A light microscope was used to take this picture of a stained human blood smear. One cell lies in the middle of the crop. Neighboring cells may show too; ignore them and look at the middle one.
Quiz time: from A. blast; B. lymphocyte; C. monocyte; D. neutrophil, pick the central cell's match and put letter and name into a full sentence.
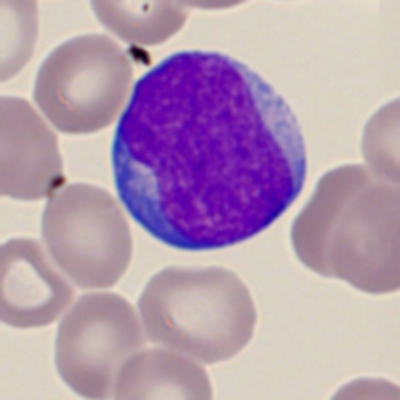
The cell positioned centrally is a blast, as given in option A, which is correct.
